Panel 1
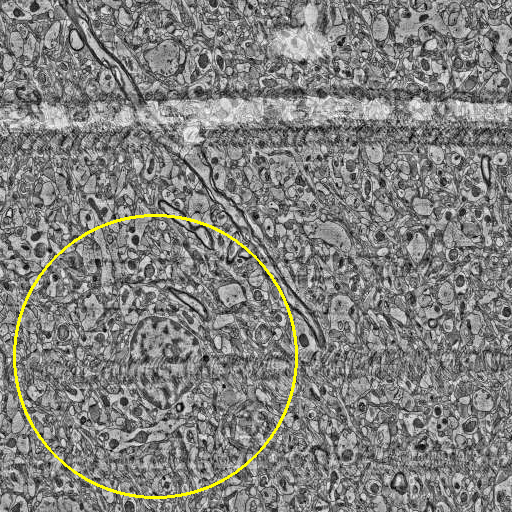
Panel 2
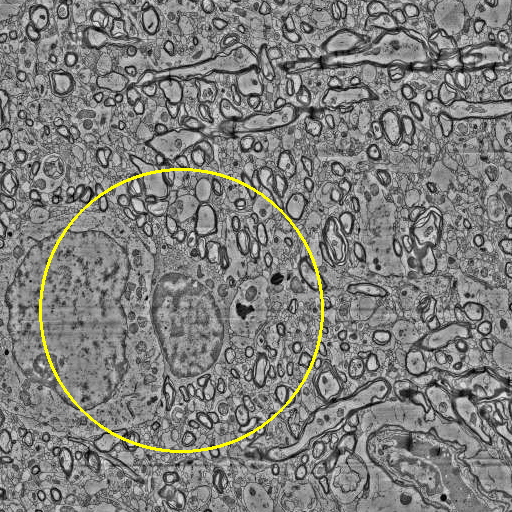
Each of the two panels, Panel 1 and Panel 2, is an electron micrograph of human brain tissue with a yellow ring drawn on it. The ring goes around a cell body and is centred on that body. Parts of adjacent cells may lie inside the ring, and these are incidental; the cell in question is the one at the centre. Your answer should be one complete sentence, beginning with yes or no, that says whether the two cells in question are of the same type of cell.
No, the two cells are of two types.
